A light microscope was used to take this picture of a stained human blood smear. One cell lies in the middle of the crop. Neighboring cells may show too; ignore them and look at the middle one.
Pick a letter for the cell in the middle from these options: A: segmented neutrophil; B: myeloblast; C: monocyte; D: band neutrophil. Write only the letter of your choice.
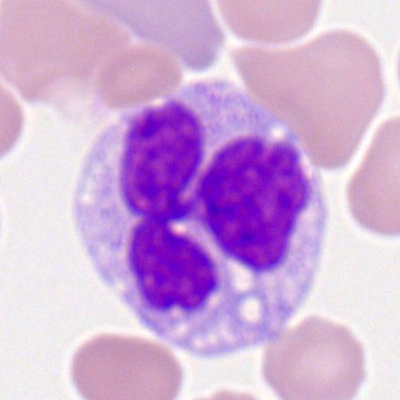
C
